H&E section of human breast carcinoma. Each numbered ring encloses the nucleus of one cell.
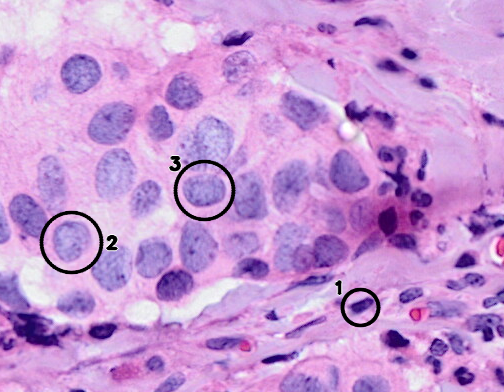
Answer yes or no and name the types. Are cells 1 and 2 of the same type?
No, cell 1 is a lymphocyte and cell 2 is a carcinoma cell.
